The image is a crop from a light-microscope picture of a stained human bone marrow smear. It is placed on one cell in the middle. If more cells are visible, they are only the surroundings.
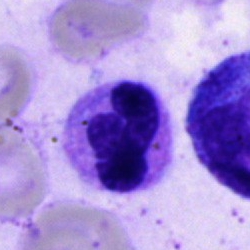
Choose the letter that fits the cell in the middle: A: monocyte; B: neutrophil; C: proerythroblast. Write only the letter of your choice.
B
